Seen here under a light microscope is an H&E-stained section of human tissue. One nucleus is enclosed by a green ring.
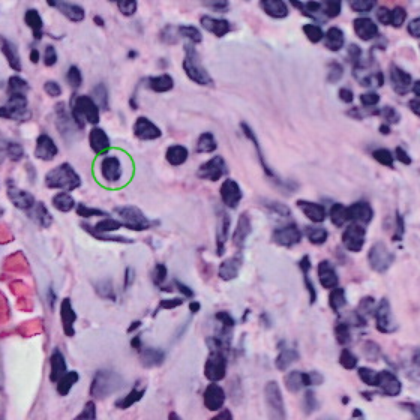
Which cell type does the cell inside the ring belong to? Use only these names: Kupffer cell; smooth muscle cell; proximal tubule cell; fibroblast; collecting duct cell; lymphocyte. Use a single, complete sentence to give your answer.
For cell typing purposes, the cell inside the ring is a lymphocyte.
